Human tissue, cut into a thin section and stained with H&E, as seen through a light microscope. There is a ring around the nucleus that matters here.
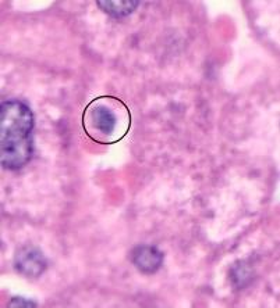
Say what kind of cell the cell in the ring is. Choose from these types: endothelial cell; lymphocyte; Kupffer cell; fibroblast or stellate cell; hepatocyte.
lymphocyte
